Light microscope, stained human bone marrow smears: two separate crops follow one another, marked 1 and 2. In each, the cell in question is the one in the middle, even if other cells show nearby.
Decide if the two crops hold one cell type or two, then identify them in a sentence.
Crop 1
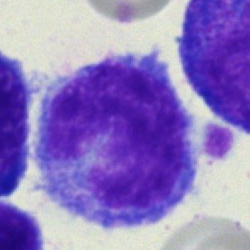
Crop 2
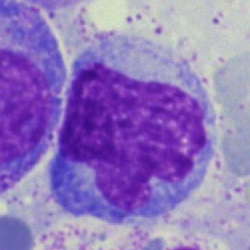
Yes, the cells at the centre of both crops are monocytes.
